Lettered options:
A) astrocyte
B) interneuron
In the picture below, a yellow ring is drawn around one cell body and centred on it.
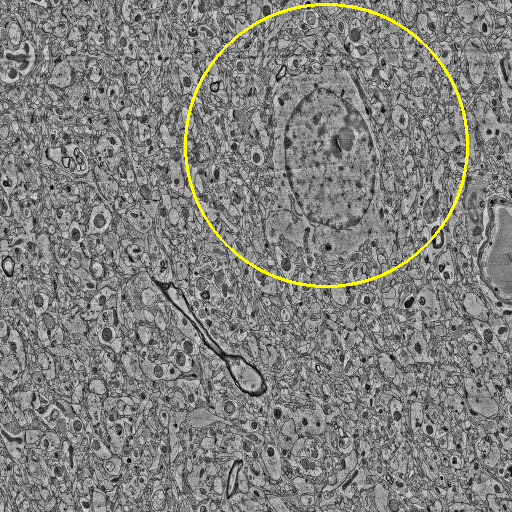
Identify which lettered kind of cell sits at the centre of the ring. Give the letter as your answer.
A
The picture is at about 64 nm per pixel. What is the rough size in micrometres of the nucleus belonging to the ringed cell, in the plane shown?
Approximately 9 by 6 micrometers, which makes the nucleus clearly longer than it is wide in this plane.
